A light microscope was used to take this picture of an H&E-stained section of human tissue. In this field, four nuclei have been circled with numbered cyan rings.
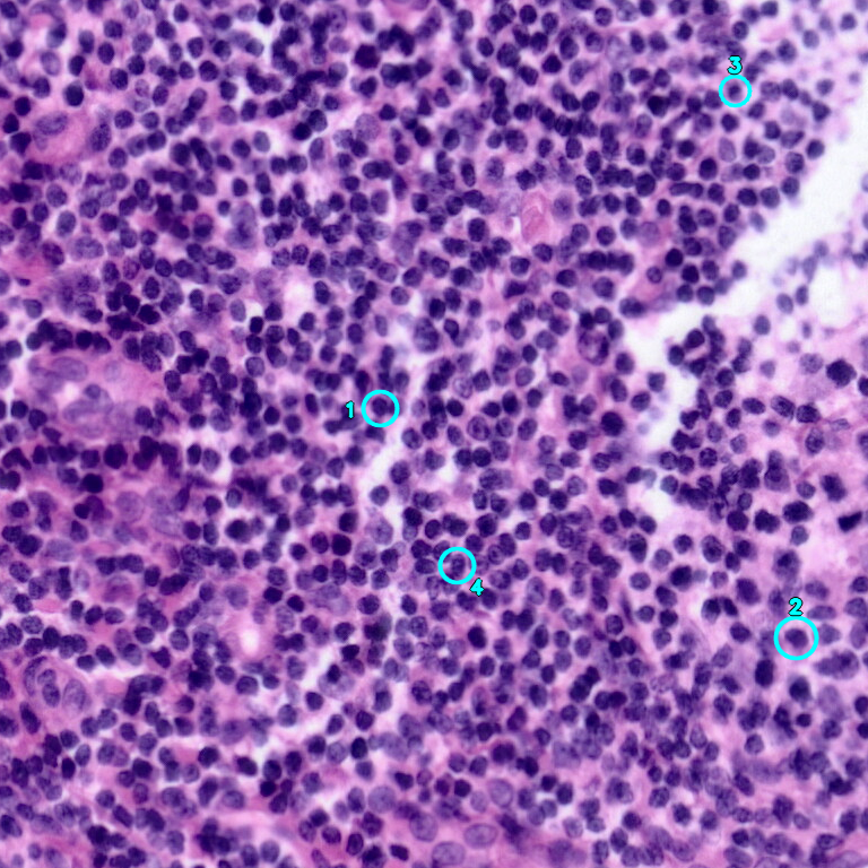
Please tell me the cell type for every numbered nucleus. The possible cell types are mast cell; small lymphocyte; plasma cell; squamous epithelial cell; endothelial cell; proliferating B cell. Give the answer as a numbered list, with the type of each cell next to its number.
1. small lymphocyte
2. proliferating B cell
3. small lymphocyte
4. small lymphocyte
